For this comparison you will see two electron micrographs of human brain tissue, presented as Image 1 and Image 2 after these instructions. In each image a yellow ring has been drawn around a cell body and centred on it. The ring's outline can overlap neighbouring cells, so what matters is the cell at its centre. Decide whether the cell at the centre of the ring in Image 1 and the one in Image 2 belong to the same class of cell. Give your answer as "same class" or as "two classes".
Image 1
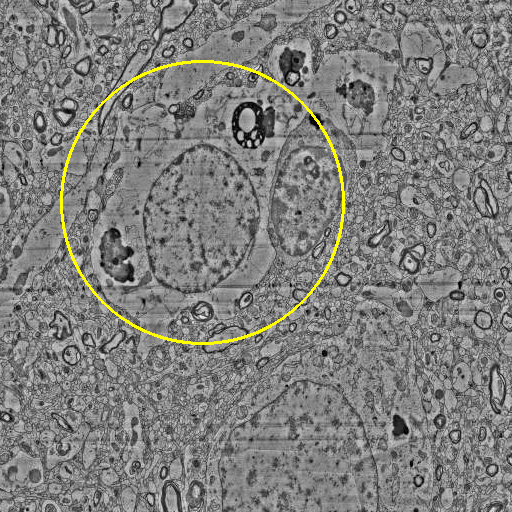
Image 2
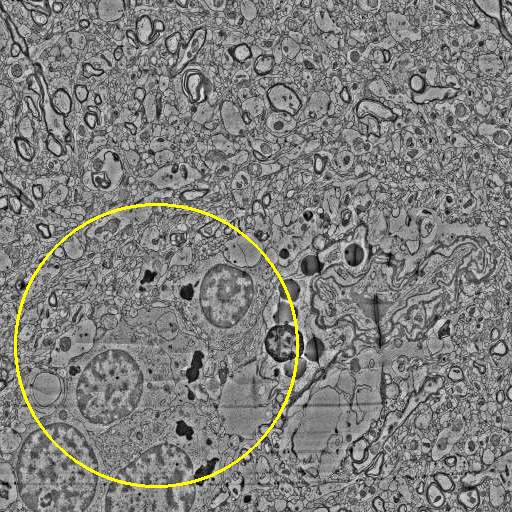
two classes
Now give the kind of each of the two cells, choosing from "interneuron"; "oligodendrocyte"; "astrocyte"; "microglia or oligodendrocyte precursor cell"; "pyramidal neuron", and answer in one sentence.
The cell in the first picture is an astrocyte, and the cell in the second is an oligodendrocyte.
